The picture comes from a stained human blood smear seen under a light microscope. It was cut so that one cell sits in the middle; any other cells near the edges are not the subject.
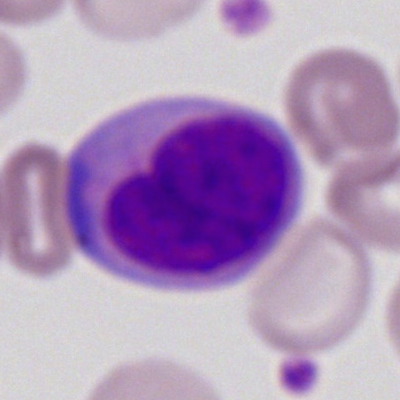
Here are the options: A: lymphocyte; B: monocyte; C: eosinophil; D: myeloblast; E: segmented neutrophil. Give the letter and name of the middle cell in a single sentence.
As the central cell is a myeloblast, option D is correct.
